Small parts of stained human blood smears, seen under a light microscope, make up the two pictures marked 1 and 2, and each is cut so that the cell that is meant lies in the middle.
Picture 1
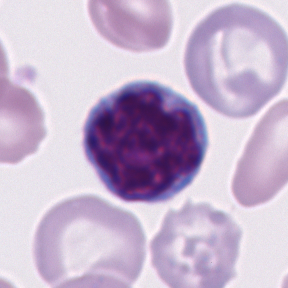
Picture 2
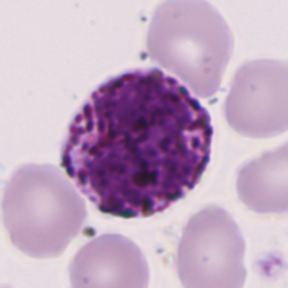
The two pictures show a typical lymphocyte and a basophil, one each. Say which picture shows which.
1: typical lymphocyte
2: basophil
